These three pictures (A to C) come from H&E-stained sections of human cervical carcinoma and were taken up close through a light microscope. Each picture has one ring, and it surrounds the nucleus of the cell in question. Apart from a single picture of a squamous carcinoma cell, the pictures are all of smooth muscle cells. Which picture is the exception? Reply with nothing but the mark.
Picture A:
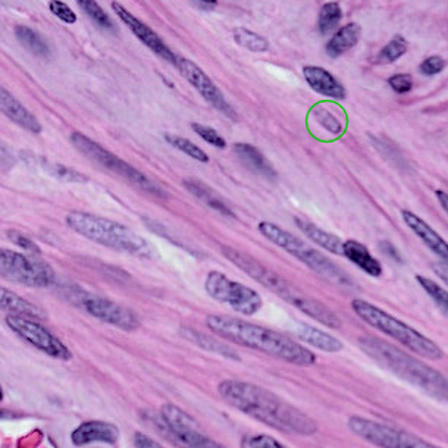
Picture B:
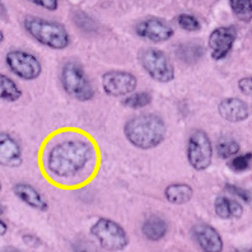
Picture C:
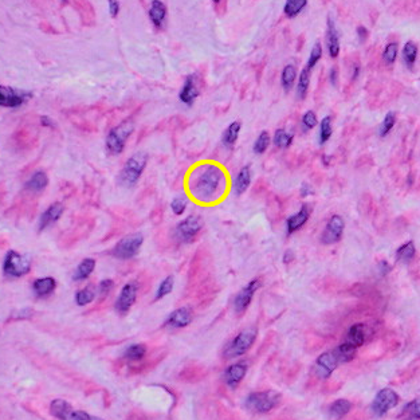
B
